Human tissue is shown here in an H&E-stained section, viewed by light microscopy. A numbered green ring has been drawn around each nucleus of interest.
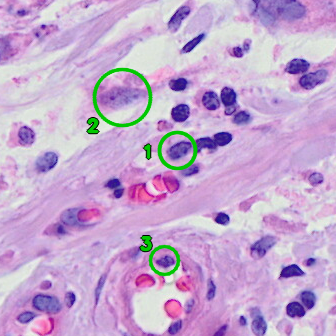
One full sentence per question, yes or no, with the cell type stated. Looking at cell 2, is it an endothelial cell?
No, cell number 2 is a fibroblast; it is not an endothelial cell.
